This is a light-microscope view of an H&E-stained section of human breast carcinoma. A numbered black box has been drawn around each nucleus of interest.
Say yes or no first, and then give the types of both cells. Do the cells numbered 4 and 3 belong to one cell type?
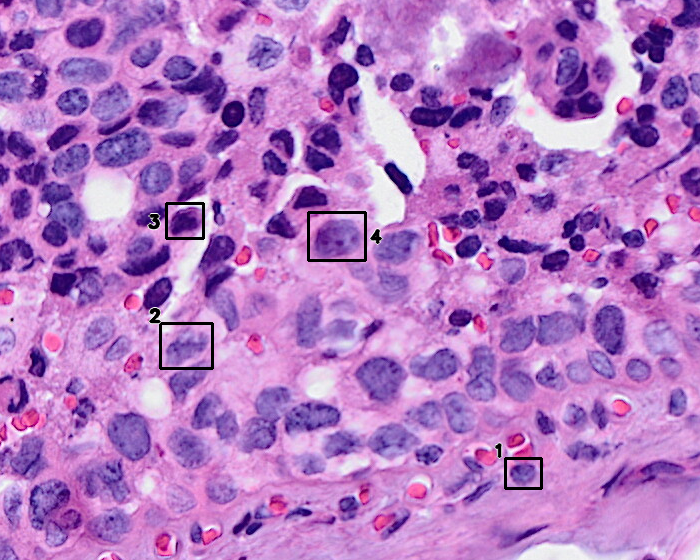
Yes, cells 4 and 3 are both to be classed as carcinoma cells.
